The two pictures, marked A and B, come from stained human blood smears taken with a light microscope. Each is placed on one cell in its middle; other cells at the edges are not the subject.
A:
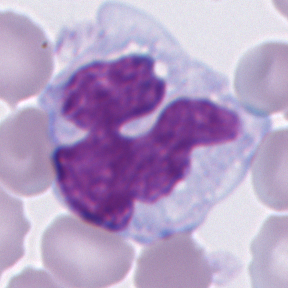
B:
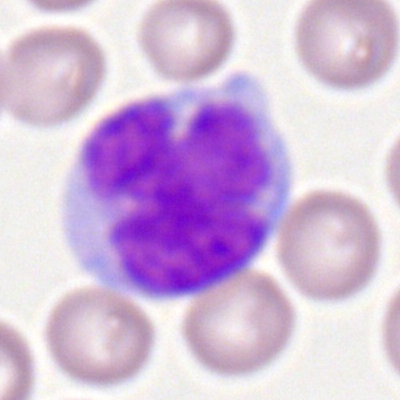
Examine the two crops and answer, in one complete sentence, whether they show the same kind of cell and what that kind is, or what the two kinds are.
Yes, as for both crops, the cells shown are monocytes.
